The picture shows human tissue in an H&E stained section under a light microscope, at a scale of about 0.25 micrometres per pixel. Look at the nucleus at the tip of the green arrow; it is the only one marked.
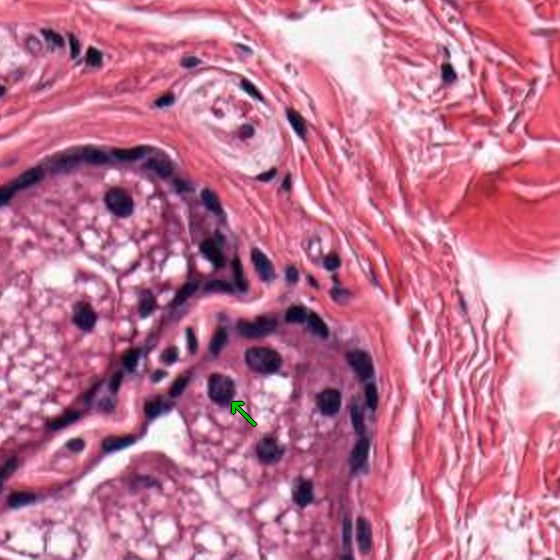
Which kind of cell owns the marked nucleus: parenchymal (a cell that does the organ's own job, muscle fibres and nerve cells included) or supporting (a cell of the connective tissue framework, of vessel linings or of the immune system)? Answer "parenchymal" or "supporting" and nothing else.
parenchymal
